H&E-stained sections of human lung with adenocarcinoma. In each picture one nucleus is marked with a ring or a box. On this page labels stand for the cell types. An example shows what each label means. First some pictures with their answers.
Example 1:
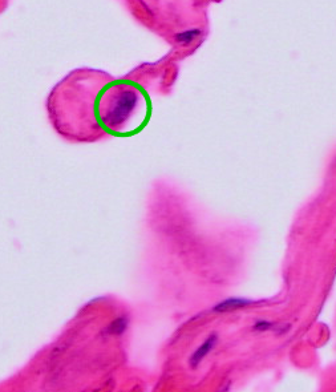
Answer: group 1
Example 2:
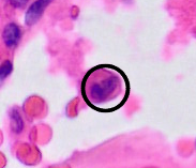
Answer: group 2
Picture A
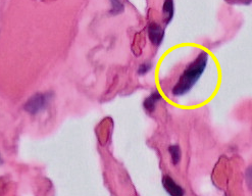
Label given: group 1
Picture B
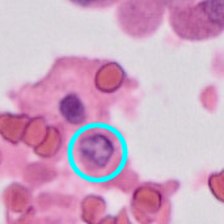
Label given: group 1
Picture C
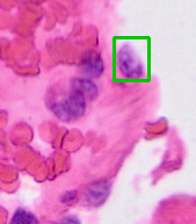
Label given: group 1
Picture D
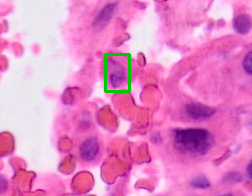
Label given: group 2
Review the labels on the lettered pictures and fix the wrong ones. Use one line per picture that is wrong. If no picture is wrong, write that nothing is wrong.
B: not group 1 but group 2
